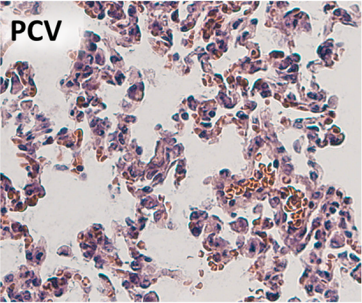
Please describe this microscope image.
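The septa form broad, irregular bands crowded with dark purple nuclei, much more cellular than a normal delicate alveolar wall. Within them, clusters of orange-brown red blood cells are packed tightly, forming congested patches. The pale air spaces are narrower and irregular between these thick walls.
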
